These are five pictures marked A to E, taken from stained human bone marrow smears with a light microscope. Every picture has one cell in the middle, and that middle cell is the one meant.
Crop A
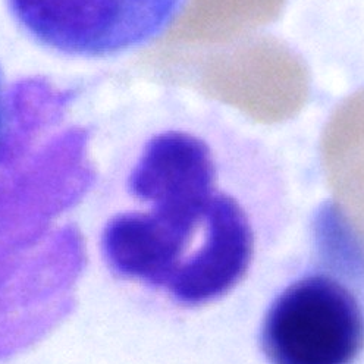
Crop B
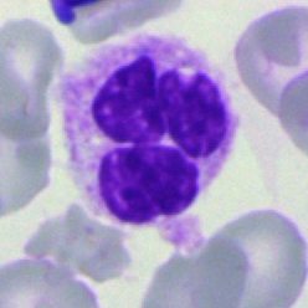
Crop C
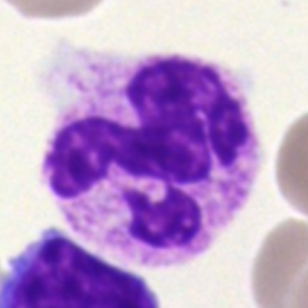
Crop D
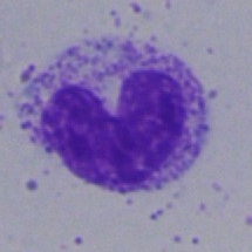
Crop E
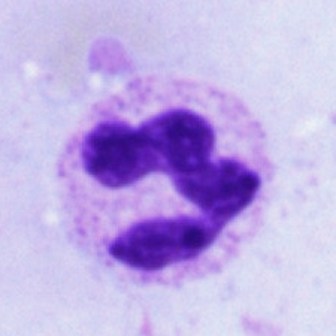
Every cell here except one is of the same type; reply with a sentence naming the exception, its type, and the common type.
Crop D is the only crop with a band neutrophil, the others all showing segmented neutrophils.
